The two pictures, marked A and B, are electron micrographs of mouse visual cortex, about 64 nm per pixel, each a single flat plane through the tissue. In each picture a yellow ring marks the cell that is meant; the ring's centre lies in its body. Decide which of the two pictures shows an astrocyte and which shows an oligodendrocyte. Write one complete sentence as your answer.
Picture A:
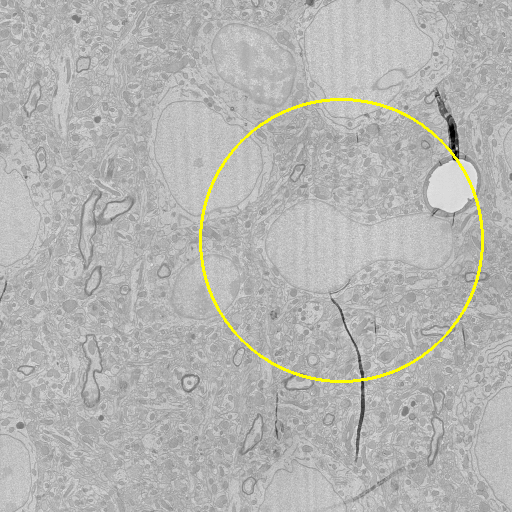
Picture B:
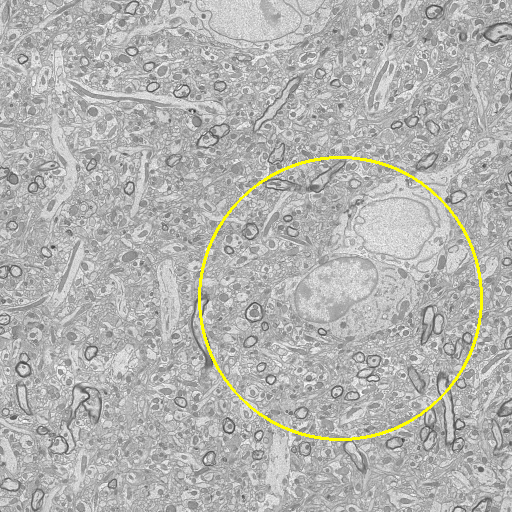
Picture A is of an astrocyte, and picture B is of an oligodendrocyte.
